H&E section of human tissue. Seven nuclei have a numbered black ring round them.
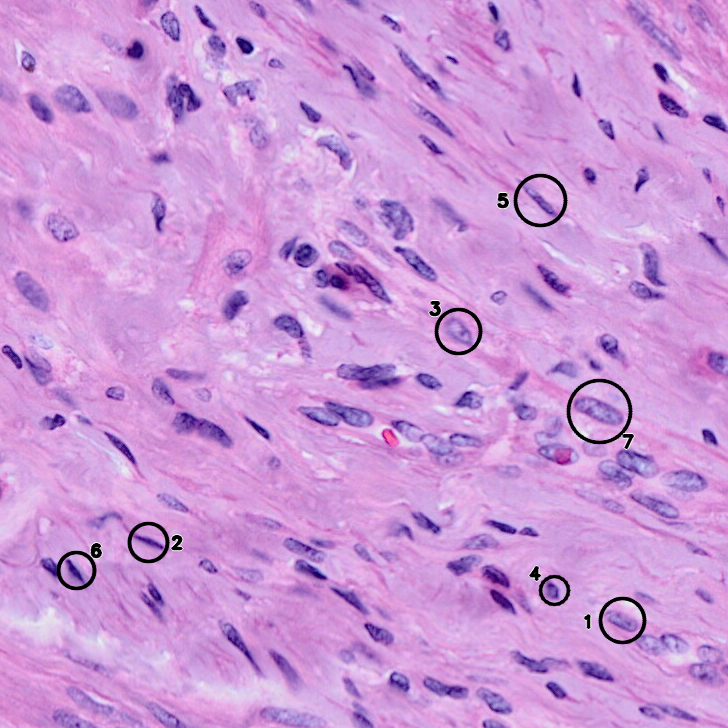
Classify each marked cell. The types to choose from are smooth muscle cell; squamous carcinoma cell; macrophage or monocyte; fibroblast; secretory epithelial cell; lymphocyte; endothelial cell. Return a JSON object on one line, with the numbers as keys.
{"1": "endothelial cell", "2": "fibroblast", "3": "endothelial cell", "4": "fibroblast", "5": "fibroblast", "6": "fibroblast", "7": "smooth muscle cell"}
